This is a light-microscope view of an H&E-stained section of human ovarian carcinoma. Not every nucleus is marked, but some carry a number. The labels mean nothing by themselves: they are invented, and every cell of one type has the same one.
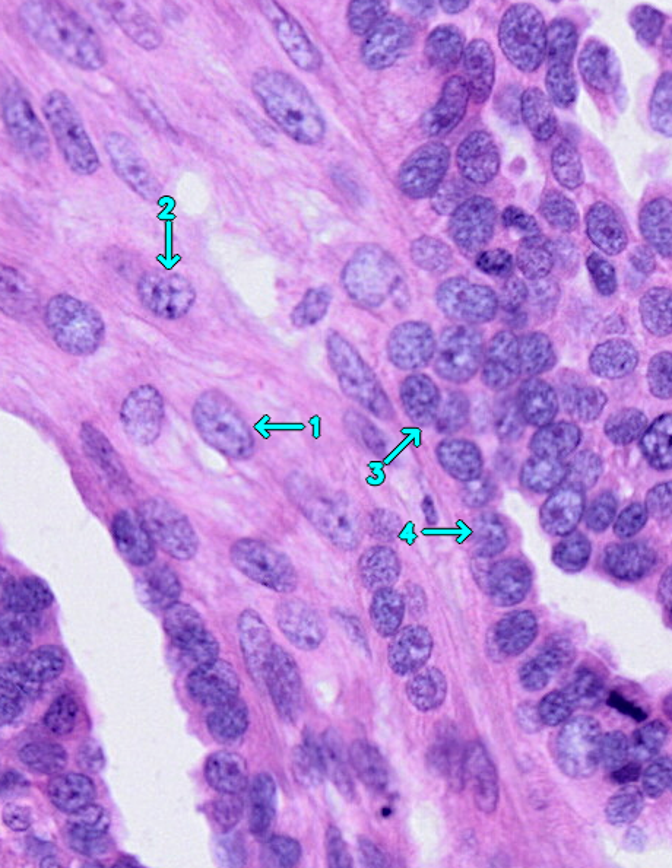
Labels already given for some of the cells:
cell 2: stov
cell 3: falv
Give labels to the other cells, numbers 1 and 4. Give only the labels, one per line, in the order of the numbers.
stov
falv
